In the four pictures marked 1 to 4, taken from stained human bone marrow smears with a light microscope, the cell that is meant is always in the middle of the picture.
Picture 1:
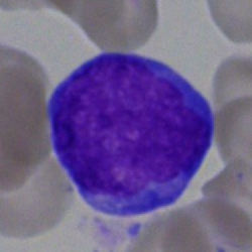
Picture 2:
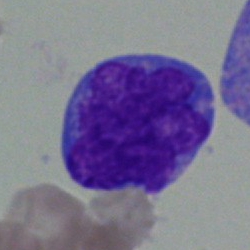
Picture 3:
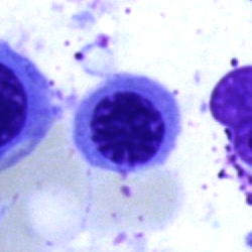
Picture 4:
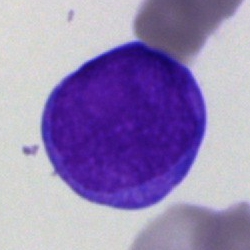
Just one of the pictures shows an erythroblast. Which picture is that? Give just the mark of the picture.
3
